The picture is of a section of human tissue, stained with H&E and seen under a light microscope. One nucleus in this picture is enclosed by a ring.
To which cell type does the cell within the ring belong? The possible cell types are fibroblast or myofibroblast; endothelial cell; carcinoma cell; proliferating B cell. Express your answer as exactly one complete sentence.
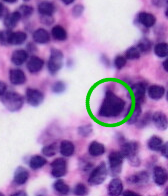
Placed in its cell category, the cell within the ring is a proliferating B cell.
